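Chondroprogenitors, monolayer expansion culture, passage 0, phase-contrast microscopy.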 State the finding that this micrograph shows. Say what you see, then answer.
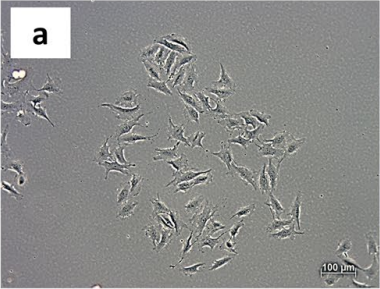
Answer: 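A single discrete cluster of cells lies in the middle of the field. The surrounding dish surface is largely empty of cells.
Hence: clonal growth.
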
